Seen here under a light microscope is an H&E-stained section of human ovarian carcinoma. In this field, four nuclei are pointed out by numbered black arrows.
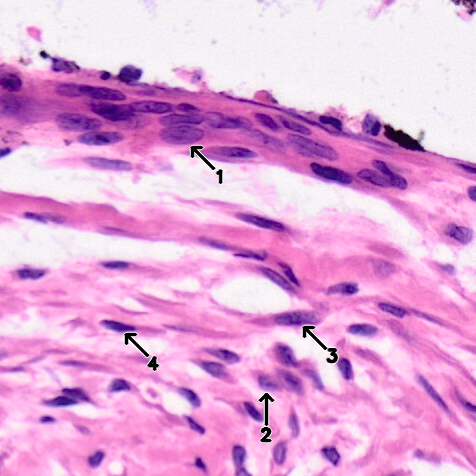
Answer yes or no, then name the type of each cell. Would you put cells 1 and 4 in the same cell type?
No, hold on, cell 1 is an endothelial cell and cell 4 is a fibroblast.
